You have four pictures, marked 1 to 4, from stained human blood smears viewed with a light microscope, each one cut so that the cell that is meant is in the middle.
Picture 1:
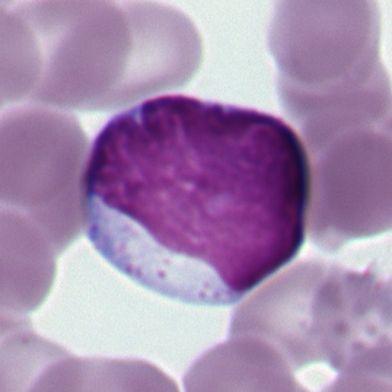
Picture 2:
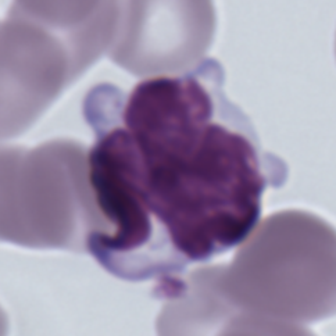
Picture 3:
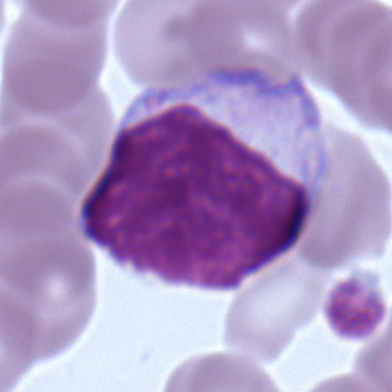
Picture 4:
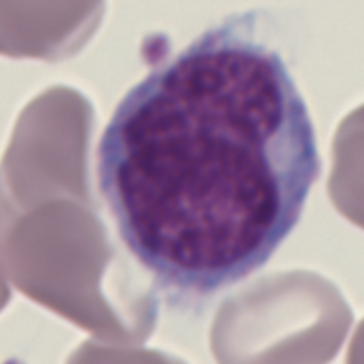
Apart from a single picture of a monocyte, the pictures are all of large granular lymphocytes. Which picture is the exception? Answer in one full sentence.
Picture 4 is the one that shows the monocyte.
